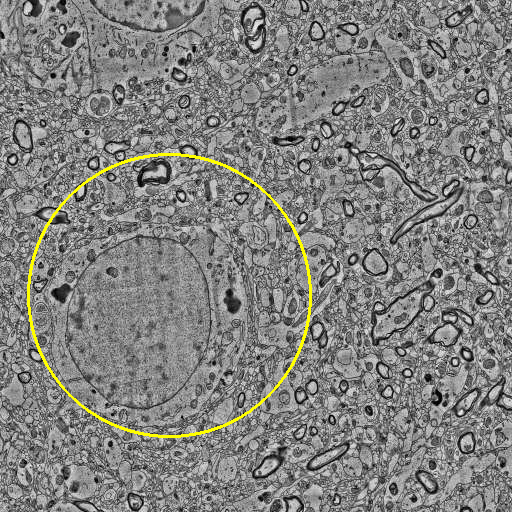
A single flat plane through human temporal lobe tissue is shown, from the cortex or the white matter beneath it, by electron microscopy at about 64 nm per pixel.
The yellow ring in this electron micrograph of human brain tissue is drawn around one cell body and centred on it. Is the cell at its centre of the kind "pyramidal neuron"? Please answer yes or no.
yes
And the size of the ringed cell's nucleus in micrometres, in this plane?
The ringed cell's nucleus is about 11 micrometres long and 9 micrometres wide in this plane.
